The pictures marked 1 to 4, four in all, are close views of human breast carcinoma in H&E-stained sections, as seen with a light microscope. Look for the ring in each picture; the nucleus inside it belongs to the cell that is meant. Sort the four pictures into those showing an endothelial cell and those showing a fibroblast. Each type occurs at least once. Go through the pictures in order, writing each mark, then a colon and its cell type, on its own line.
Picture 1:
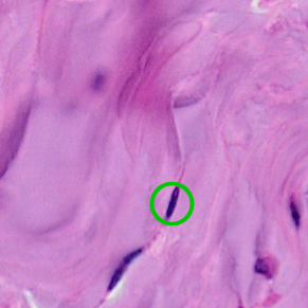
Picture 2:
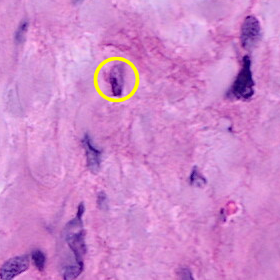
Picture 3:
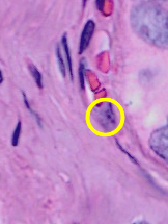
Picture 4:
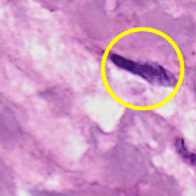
1: fibroblast
2: fibroblast
3: endothelial cell
4: fibroblast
